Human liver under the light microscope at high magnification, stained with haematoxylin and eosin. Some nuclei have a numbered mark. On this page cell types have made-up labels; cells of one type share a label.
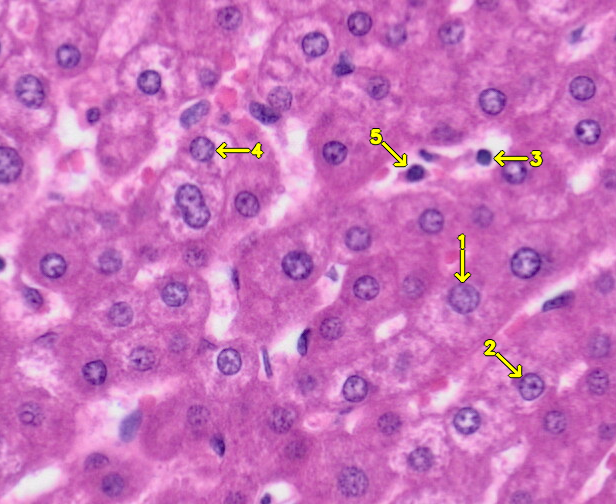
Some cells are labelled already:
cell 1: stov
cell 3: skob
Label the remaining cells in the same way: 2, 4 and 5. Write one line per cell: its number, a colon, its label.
2: stov
4: stov
5: skob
